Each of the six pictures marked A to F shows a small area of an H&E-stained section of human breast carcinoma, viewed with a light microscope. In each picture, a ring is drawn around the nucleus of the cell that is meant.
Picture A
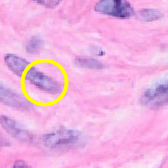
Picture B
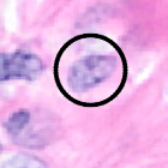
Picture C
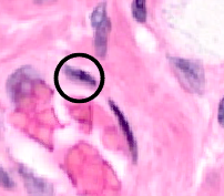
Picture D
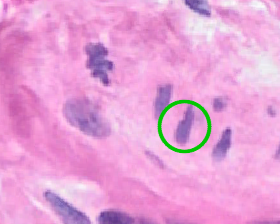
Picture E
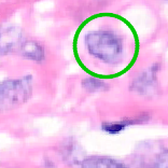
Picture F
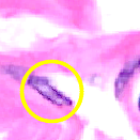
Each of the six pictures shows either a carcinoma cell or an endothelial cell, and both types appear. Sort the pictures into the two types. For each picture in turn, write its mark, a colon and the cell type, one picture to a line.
A: endothelial cell
B: carcinoma cell
C: endothelial cell
D: endothelial cell
E: carcinoma cell
F: endothelial cell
